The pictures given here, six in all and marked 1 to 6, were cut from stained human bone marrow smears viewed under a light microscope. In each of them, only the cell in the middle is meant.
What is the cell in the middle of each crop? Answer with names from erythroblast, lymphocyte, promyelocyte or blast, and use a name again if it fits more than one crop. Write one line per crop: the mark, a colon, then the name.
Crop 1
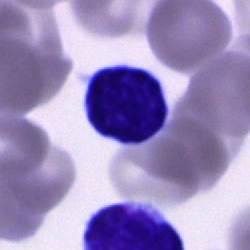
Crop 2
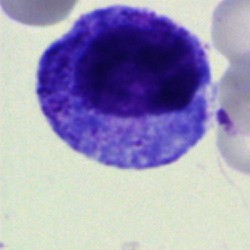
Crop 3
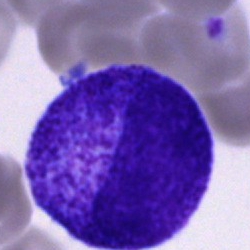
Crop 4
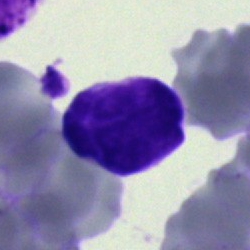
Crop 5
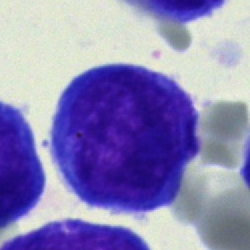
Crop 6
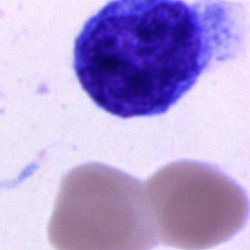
1: lymphocyte
2: promyelocyte
3: promyelocyte
4: lymphocyte
5: blast
6: blast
